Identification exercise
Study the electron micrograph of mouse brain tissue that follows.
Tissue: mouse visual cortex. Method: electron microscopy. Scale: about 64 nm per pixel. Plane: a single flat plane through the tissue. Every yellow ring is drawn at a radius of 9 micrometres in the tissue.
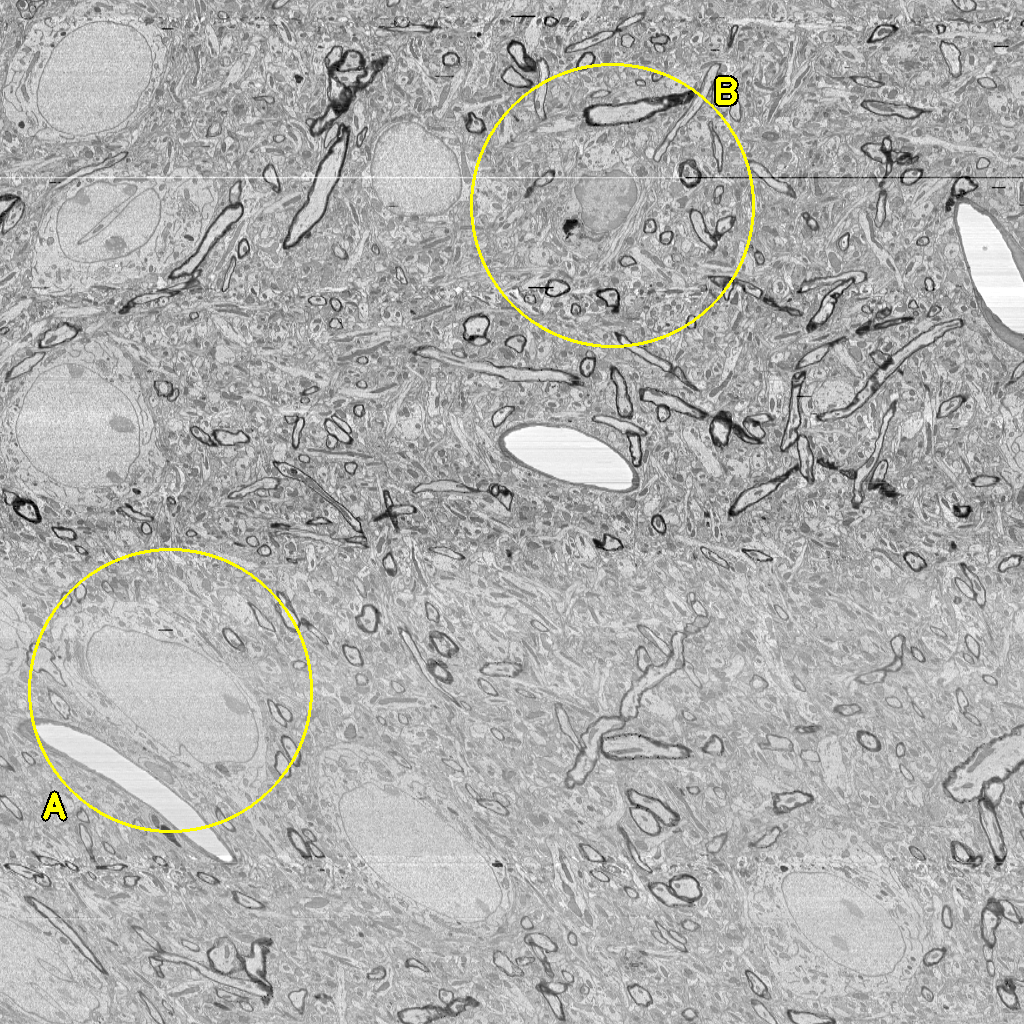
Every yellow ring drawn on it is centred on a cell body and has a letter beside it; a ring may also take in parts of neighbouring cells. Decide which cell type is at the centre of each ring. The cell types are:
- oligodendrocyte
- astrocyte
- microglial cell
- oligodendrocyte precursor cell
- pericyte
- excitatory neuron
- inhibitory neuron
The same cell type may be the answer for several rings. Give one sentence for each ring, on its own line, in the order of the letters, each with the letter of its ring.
Ring A encircles an excitatory neuron.
Ring B encircles a microglial cell.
